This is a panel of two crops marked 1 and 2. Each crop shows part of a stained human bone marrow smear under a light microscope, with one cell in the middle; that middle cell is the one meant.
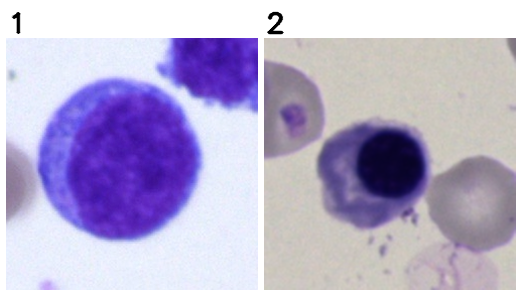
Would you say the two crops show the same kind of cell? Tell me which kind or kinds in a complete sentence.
No, crop 1 features a blast, and crop 2 features an erythroblast.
